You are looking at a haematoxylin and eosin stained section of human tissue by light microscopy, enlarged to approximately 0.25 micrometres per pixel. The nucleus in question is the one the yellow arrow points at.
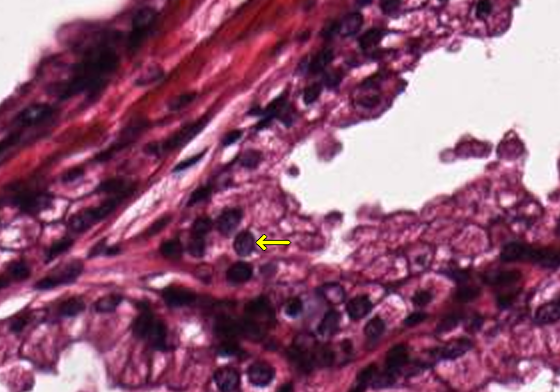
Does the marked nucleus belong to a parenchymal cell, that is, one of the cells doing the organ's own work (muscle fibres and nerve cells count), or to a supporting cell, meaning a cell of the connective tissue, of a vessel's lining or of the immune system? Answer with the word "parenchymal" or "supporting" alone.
parenchymal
